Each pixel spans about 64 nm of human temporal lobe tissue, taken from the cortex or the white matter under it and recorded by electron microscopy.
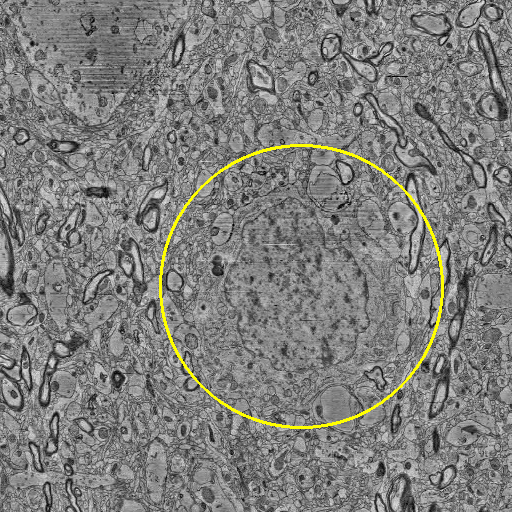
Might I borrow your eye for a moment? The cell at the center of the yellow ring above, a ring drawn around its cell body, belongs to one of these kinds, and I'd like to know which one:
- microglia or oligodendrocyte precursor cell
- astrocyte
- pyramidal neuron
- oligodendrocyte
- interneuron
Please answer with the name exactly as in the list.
interneuron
